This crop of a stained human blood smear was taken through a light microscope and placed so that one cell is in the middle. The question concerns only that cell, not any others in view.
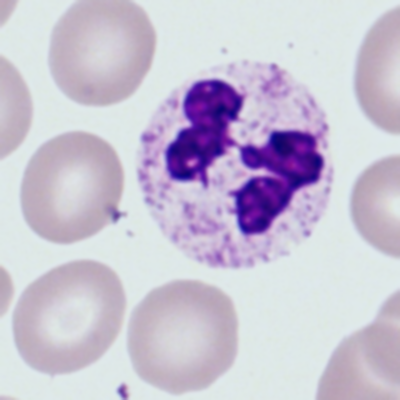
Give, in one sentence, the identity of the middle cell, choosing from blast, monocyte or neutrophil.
The cell featured at the centre of this crop is a neutrophil.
